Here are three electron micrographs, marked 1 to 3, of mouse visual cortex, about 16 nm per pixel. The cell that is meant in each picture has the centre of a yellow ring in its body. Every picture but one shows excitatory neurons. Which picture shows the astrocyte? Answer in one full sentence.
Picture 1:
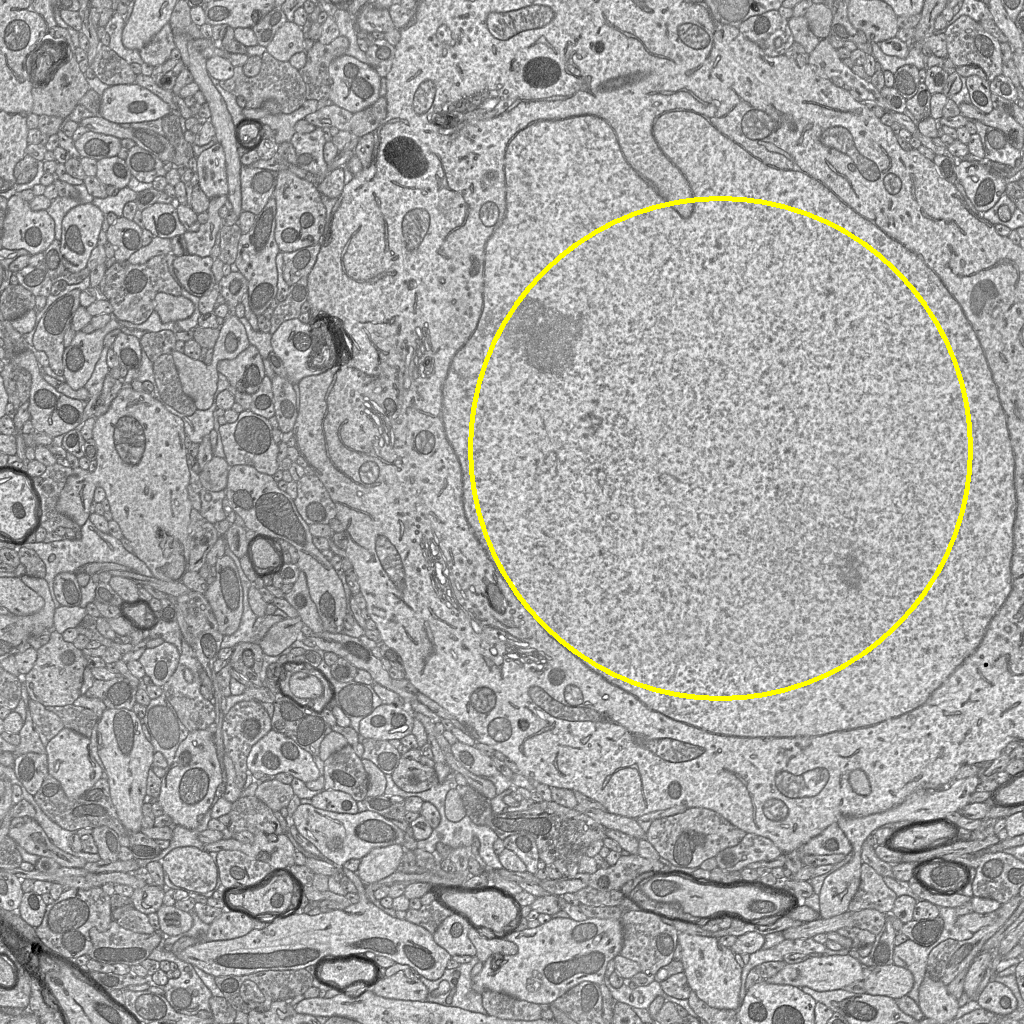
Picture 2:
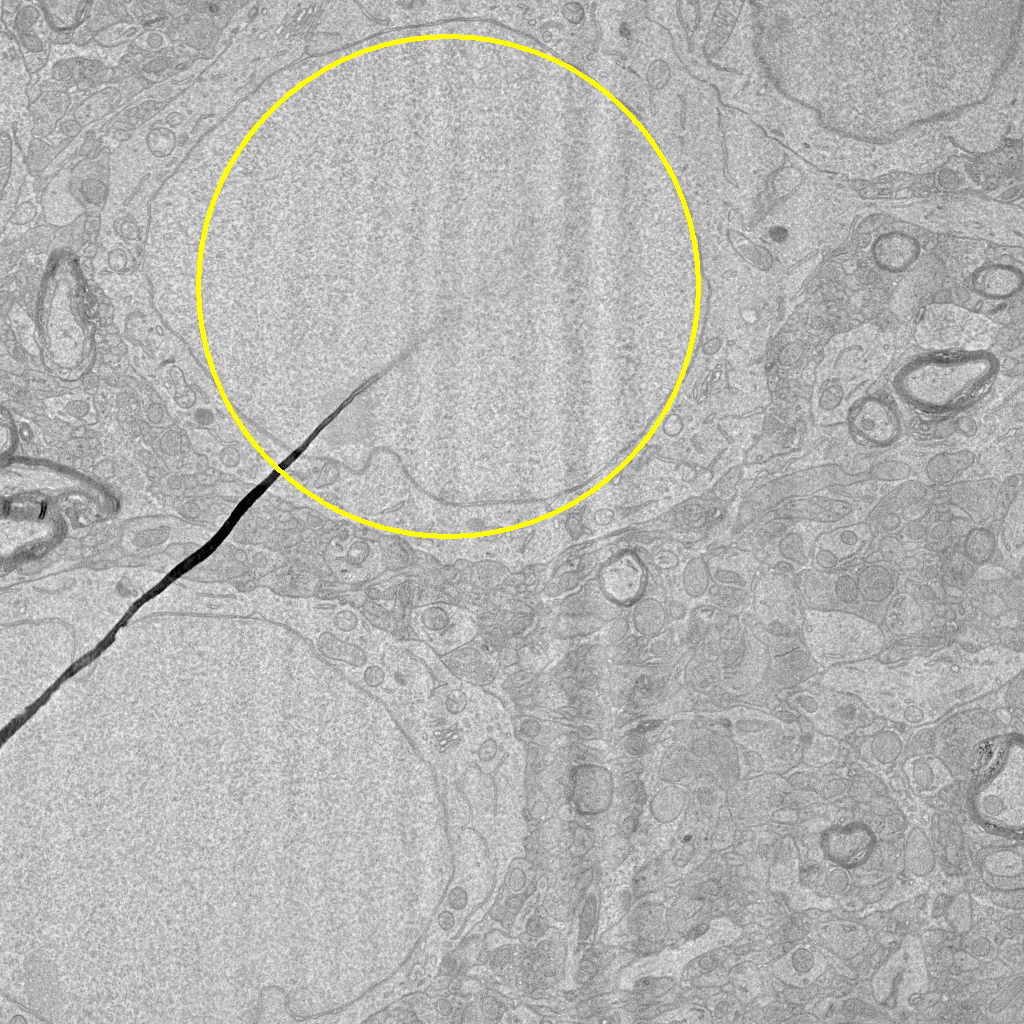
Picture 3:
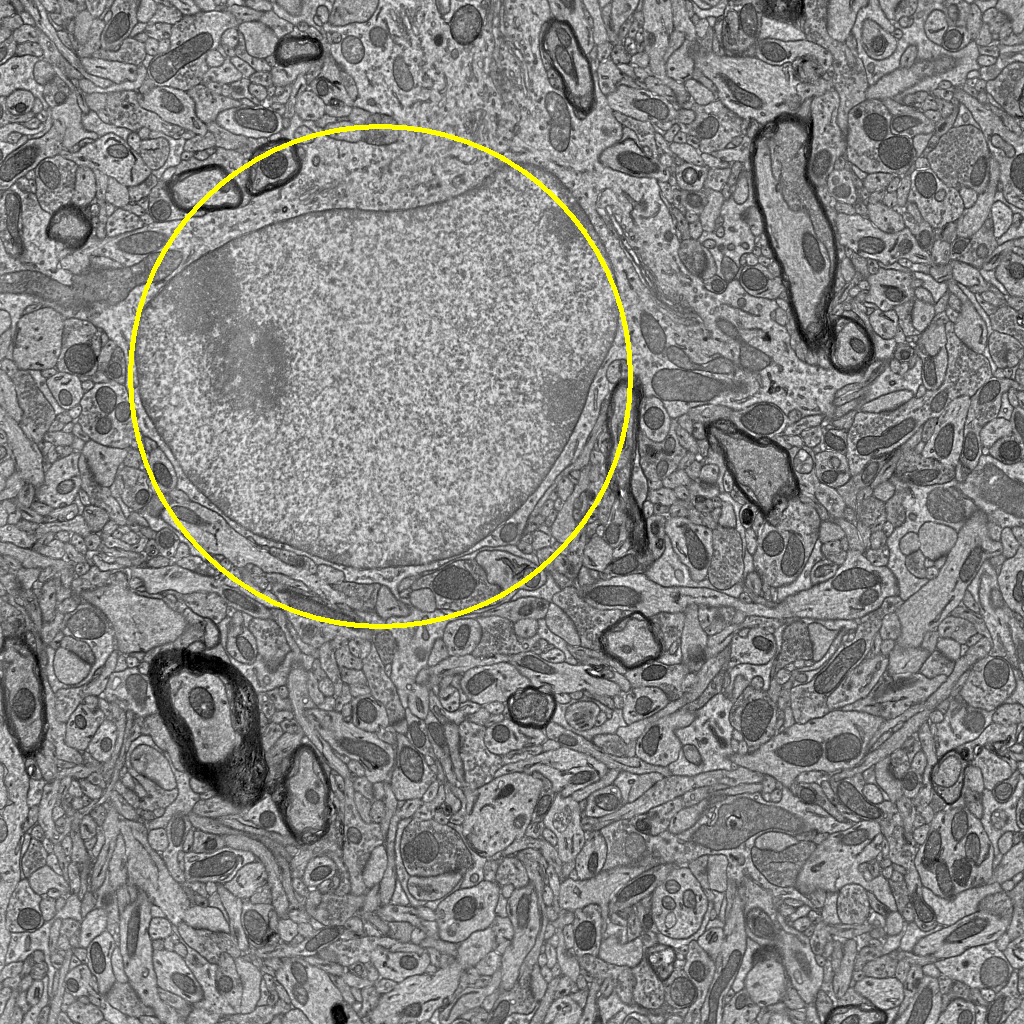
The cell in picture 3 is the astrocyte.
